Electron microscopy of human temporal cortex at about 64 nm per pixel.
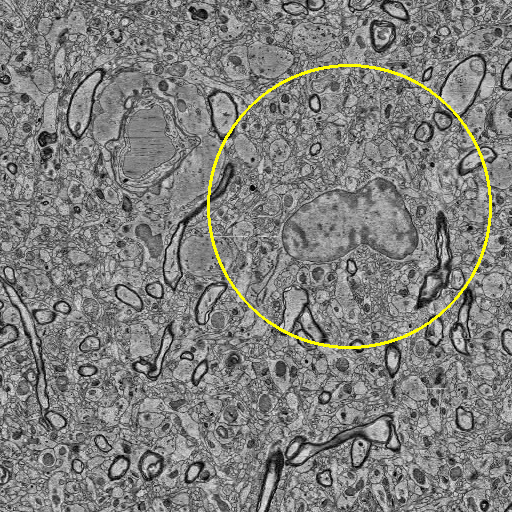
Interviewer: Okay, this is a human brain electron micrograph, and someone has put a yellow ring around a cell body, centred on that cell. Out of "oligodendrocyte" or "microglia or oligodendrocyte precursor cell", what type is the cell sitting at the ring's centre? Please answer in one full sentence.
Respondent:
The cell at the centre of the yellow ring in this picture is a microglial cell or oligodendrocyte precursor cell.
